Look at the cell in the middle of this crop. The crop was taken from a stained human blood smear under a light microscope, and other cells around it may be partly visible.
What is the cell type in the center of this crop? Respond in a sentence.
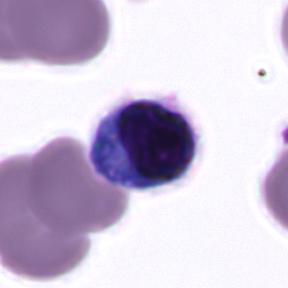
At the middle of the frame sits a plasma cell.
